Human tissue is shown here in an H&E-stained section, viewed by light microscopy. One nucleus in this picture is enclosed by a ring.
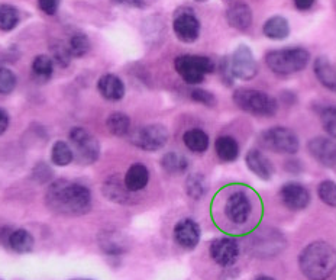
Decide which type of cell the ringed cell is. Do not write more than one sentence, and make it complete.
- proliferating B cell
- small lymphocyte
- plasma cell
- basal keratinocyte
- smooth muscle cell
For the purposes of cell typing, the ringed cell is categorized as a plasma cell.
